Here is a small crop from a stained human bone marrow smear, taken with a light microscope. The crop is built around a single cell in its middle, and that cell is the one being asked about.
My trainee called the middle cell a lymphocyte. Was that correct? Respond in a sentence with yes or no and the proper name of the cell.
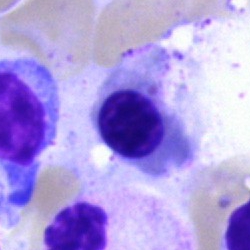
No, the central cell in this crop is an erythroblast and not a lymphocyte.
